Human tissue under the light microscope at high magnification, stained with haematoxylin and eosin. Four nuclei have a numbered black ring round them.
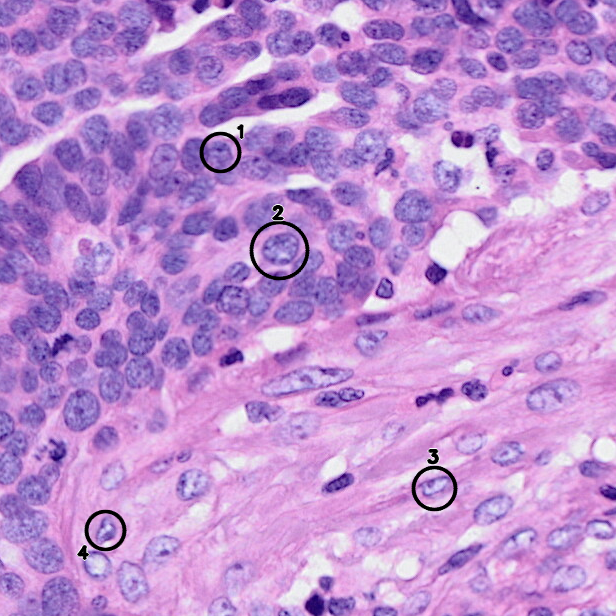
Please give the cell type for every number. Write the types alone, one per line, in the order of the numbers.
carcinoma cell
carcinoma cell
fibroblast
fibroblast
